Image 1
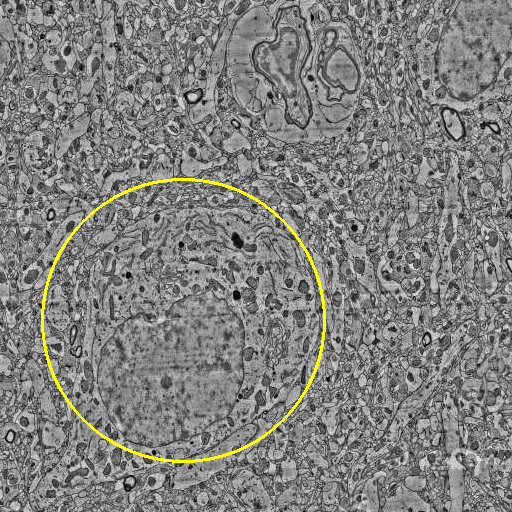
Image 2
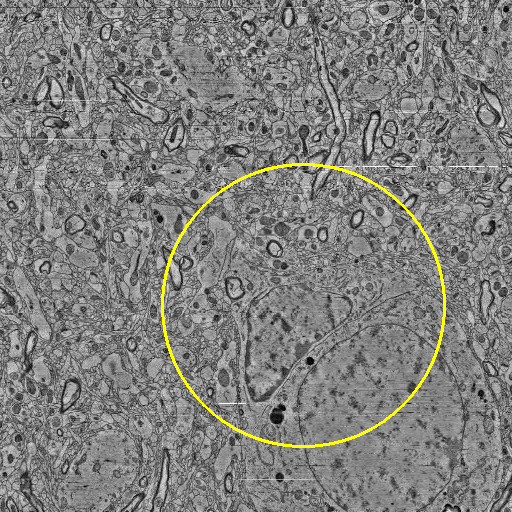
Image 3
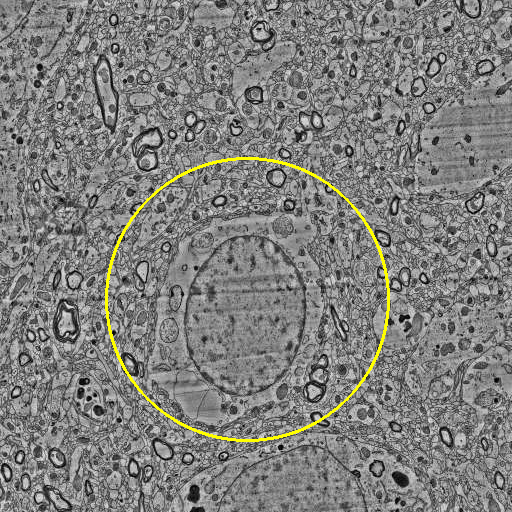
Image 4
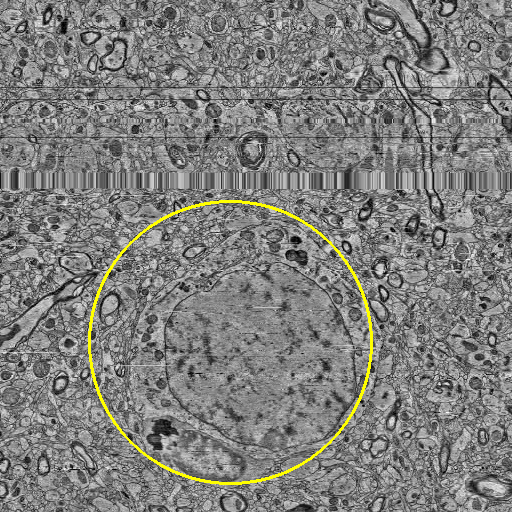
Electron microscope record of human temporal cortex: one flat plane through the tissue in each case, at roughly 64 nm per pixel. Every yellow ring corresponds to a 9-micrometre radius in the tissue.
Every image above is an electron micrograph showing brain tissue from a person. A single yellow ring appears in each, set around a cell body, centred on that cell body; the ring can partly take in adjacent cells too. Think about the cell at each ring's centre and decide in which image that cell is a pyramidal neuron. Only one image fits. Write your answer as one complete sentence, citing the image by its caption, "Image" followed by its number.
Image 4 is the one whose ringed central cell fits the description.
